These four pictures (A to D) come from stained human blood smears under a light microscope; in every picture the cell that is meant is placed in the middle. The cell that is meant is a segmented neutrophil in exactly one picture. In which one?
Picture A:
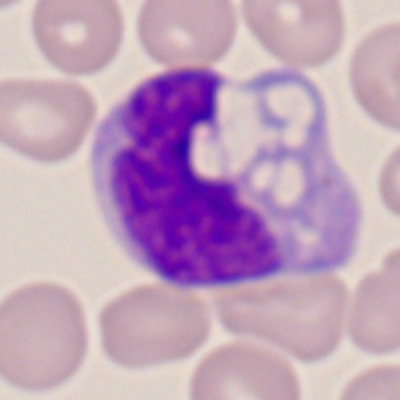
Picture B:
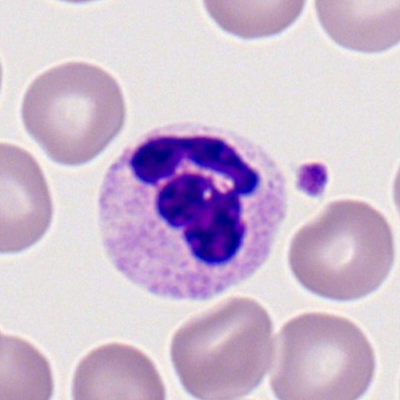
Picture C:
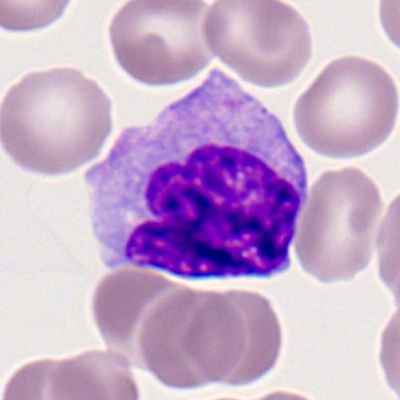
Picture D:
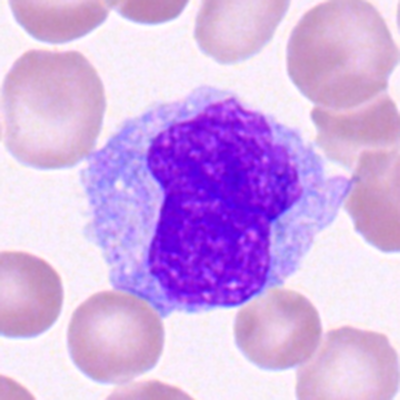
B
